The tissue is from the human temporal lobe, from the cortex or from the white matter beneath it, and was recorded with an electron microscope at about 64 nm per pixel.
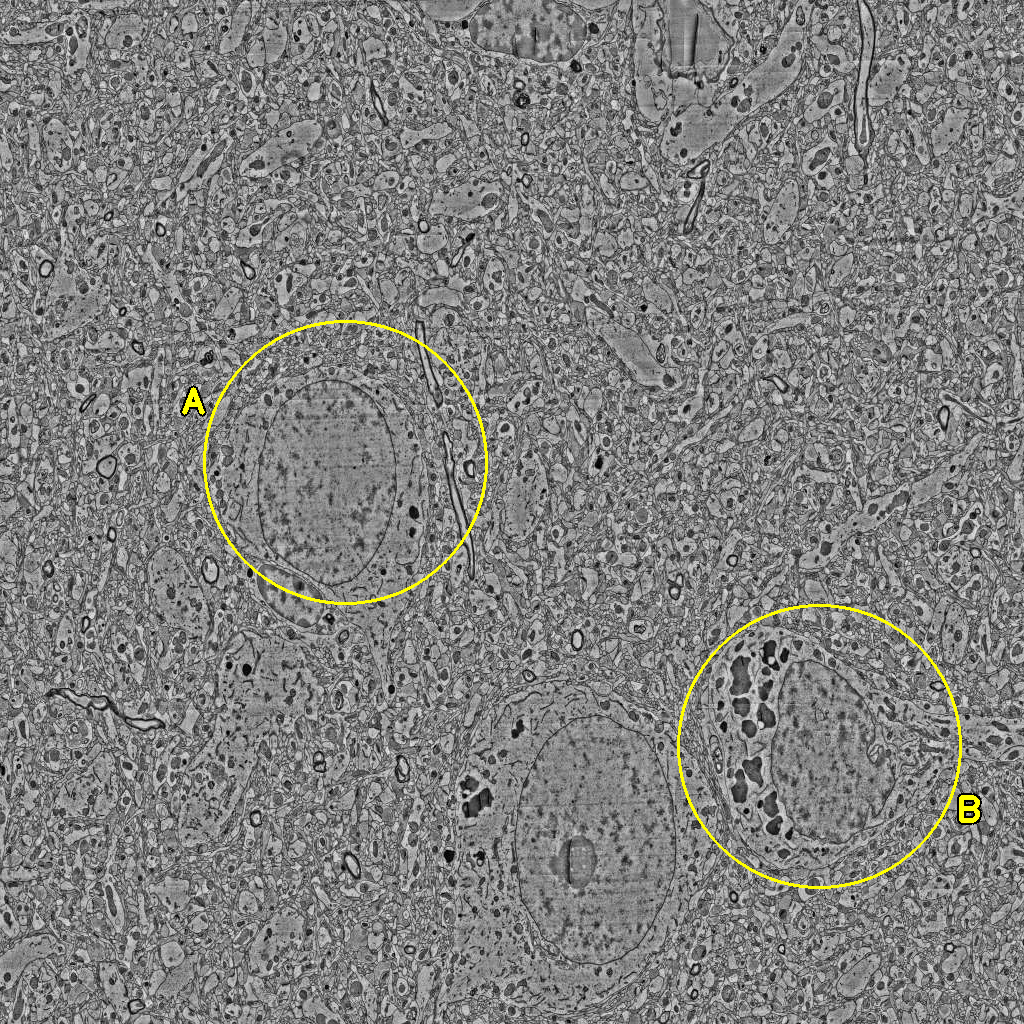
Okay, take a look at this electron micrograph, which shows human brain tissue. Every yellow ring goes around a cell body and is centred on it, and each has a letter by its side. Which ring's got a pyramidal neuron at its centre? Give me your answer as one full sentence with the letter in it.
The one you're after is ring A, centred on the cell you asked about.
